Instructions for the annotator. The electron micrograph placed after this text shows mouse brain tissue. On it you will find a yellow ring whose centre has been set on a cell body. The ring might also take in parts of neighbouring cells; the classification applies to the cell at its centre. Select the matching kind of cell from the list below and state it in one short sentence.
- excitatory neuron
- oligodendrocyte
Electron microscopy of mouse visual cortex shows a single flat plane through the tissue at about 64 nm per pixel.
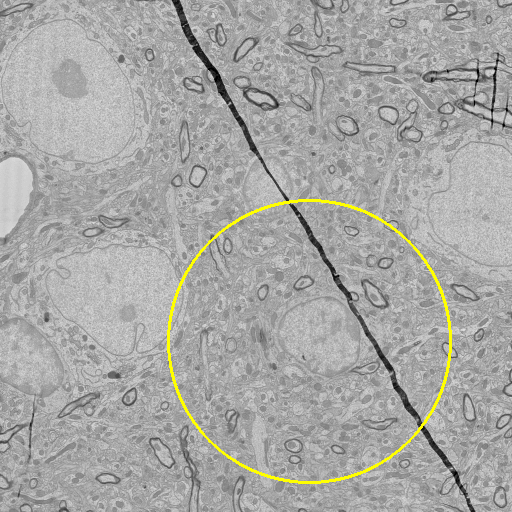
The ring is drawn on the cell body of an oligodendrocyte.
